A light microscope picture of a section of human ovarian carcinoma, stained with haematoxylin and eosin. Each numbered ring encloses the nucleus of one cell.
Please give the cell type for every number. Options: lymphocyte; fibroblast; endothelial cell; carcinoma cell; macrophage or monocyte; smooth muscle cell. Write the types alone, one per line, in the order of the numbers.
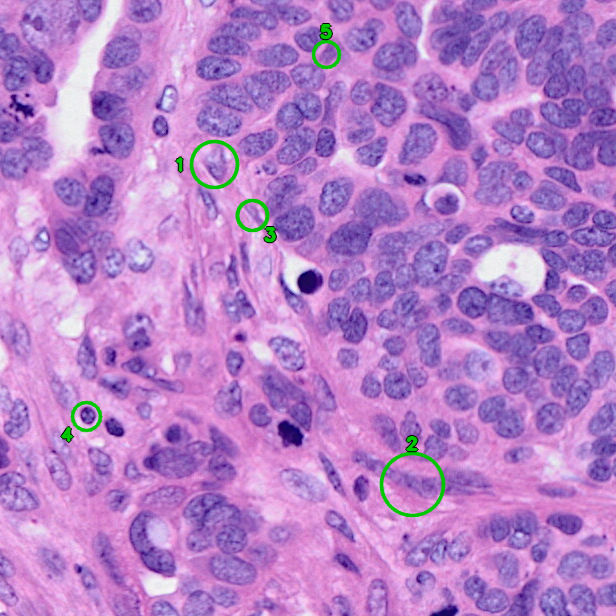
fibroblast
fibroblast
fibroblast
lymphocyte
carcinoma cell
